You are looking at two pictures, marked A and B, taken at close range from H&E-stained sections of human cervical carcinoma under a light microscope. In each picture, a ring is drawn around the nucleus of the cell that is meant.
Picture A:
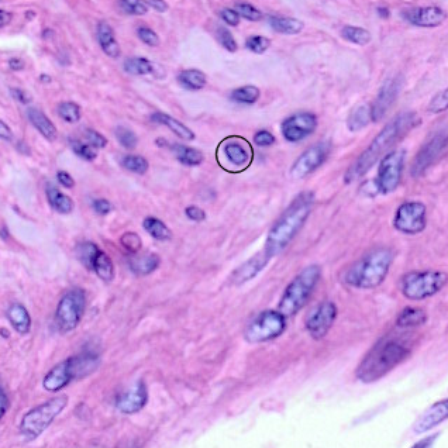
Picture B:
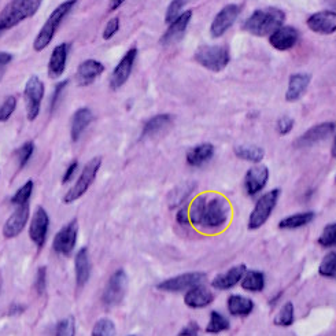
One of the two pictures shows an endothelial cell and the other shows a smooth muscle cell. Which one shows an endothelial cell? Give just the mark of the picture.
B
